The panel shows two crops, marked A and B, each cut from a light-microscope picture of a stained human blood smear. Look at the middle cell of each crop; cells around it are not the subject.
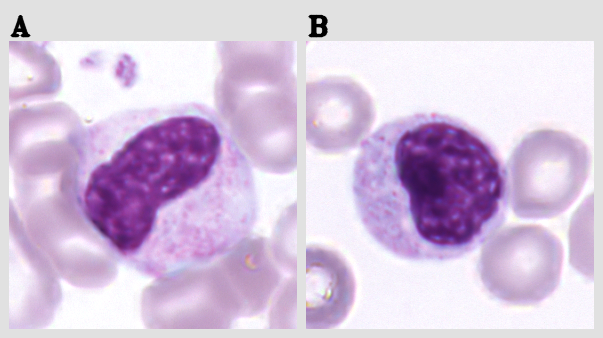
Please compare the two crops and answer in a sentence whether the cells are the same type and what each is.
Yes, both crops show metamyelocytes as the central cells.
